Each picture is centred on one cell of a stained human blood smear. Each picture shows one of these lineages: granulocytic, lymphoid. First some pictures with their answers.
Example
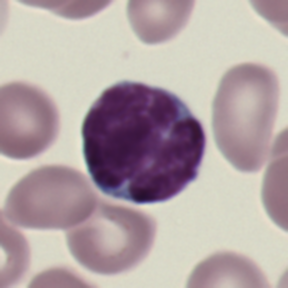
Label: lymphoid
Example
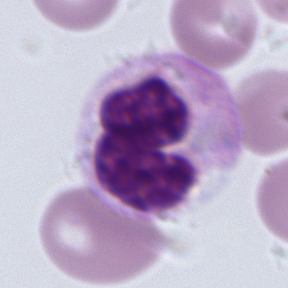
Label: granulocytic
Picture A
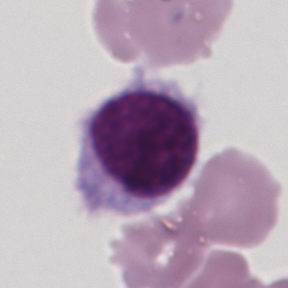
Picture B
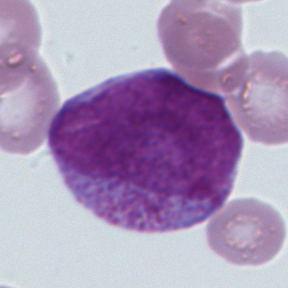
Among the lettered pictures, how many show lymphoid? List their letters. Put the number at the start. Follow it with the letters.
1: A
